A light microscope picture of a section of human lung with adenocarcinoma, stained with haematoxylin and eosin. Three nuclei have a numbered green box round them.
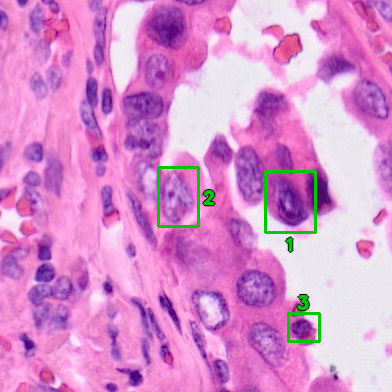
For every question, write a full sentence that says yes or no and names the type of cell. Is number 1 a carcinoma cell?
Yes, the marked cell number 1 is a carcinoma cell.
